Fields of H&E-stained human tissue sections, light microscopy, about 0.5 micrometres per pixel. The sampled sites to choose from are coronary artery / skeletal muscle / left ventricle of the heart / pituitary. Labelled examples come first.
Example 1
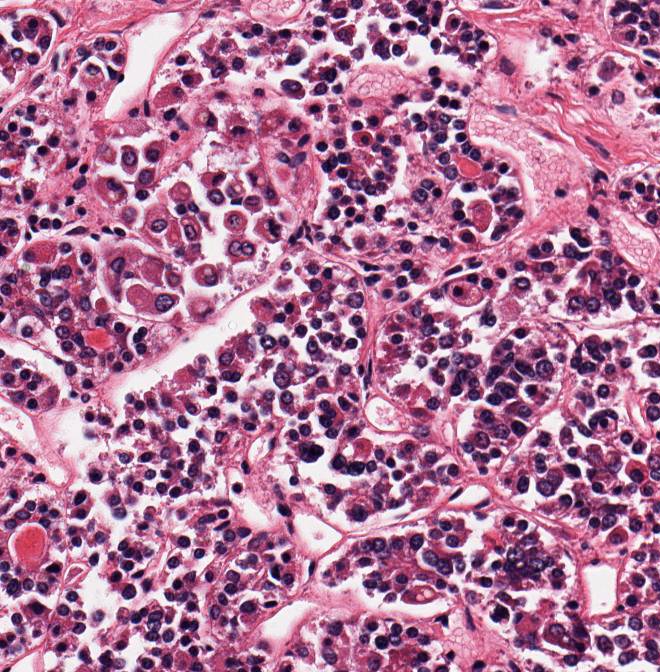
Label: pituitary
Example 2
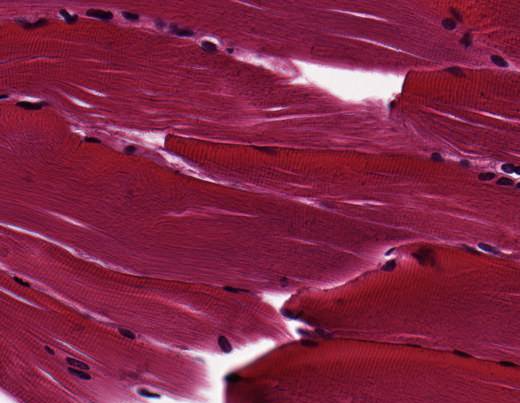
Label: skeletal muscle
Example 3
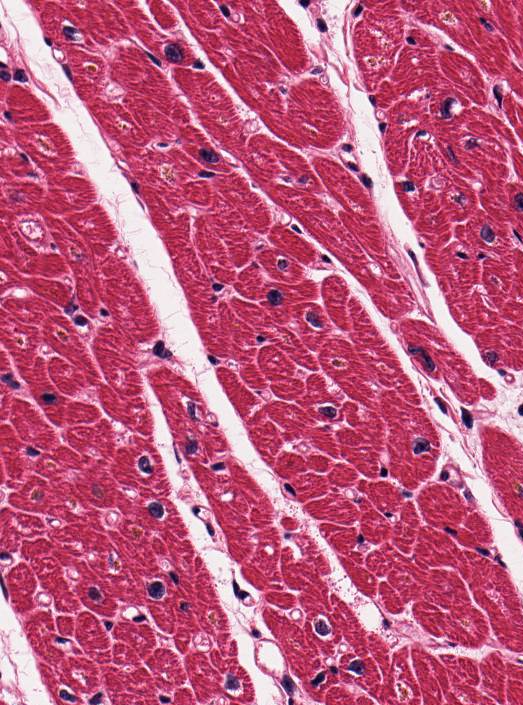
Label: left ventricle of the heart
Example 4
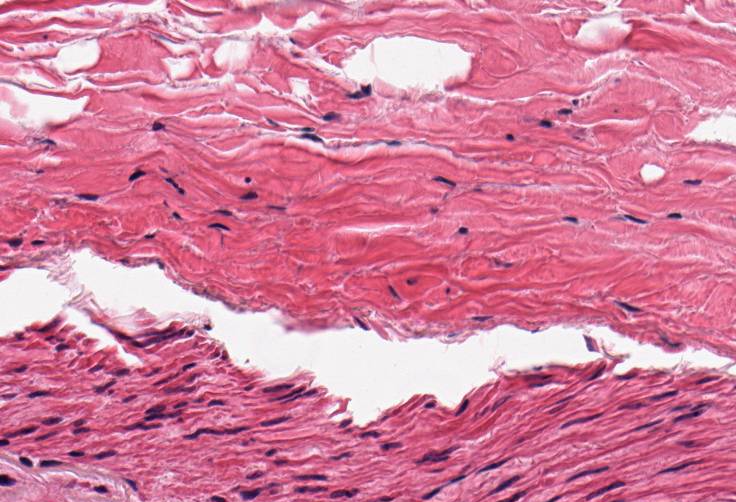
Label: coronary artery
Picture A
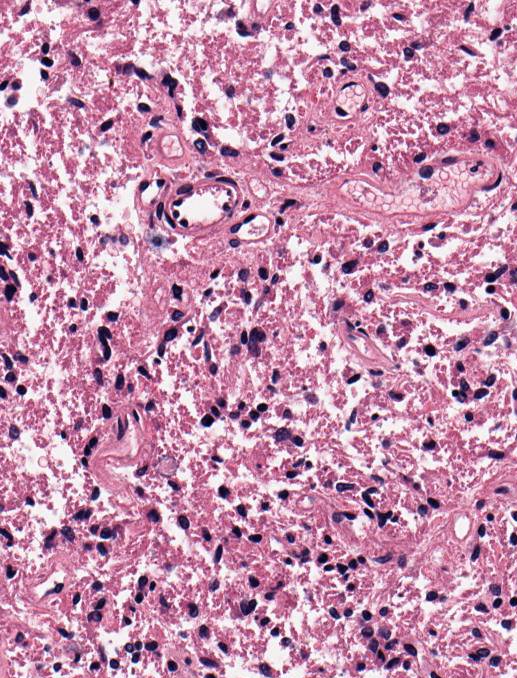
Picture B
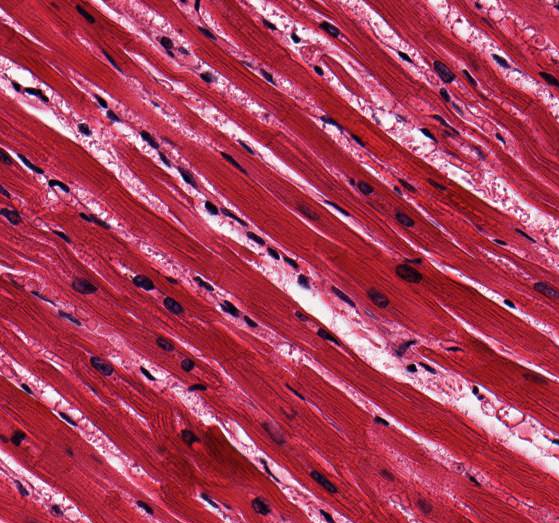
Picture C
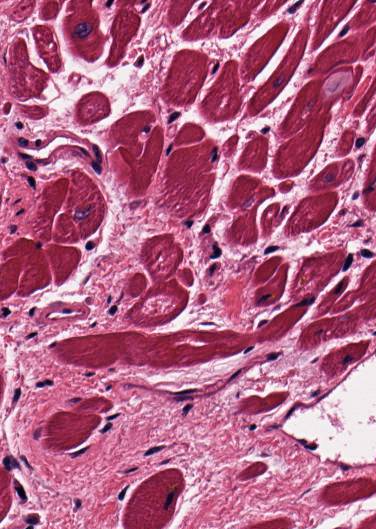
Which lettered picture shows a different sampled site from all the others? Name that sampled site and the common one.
Different: A, pituitary. Others: left ventricle of the heart.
